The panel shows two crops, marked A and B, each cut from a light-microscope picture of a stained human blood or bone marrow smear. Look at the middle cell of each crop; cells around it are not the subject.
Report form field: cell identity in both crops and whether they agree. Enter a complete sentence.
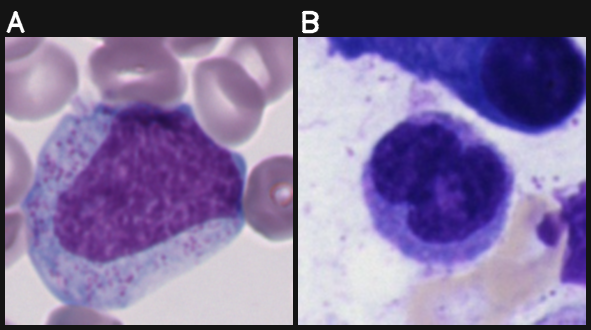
No, crop A shows a promyelocyte, and the cell in crop B is a monocyte.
